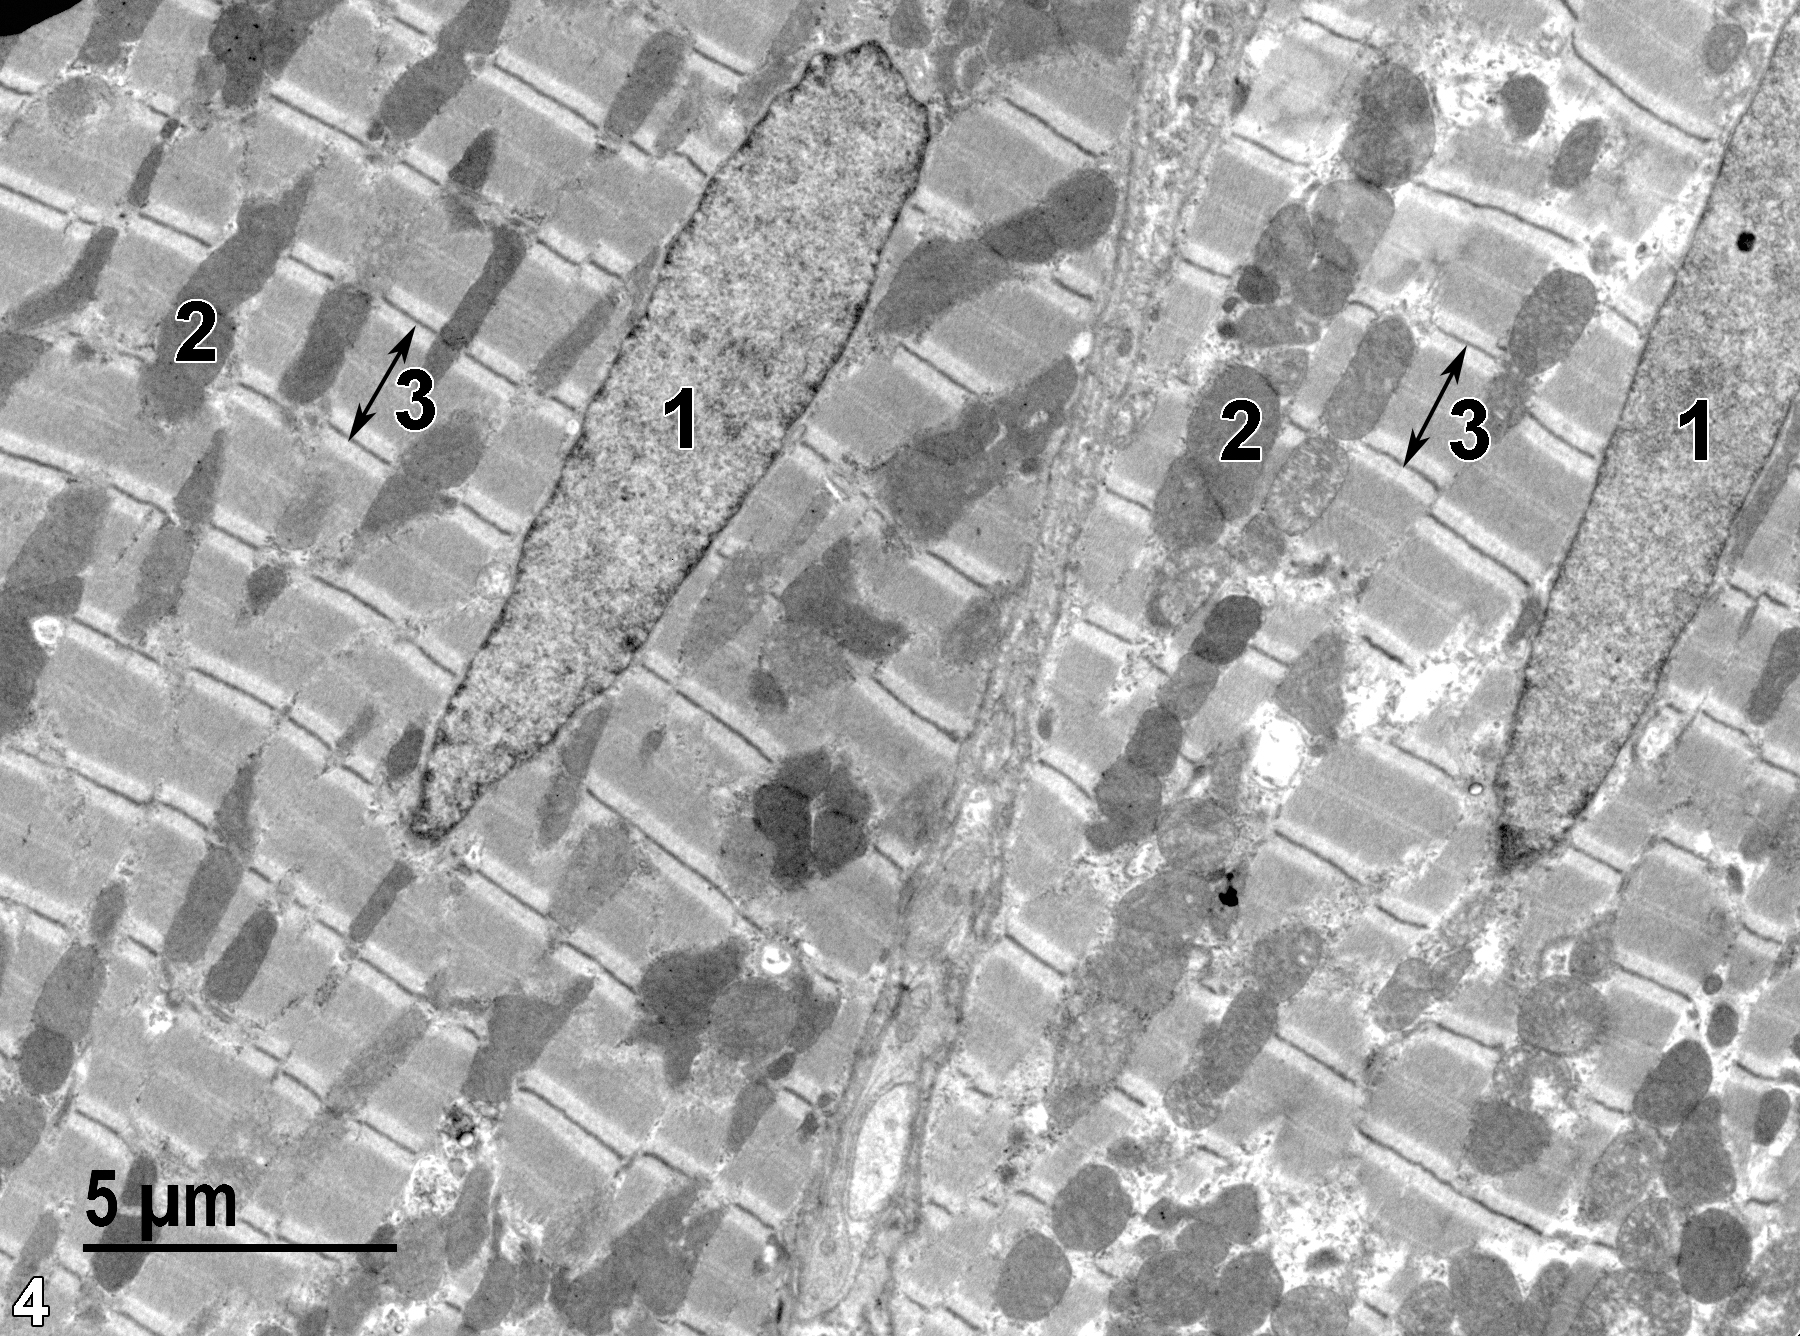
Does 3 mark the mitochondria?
No, it marks the sarcomeres; the mitochondria are at 2.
